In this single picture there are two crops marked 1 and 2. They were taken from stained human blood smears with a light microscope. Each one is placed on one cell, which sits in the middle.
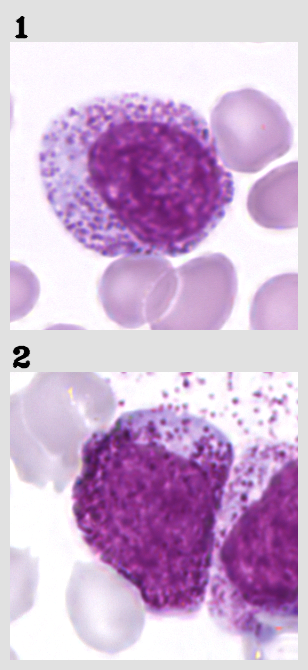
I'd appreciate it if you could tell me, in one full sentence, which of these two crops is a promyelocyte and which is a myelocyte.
Found in crop 1 is a myelocyte; found in crop 2 is a promyelocyte.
